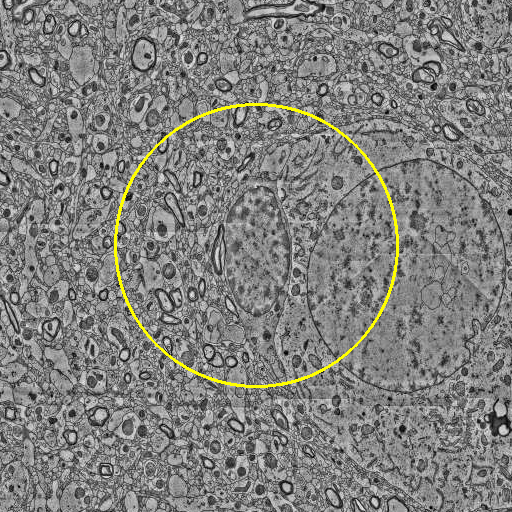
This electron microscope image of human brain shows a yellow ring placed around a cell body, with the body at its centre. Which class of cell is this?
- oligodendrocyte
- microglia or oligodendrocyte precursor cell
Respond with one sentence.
The cell body at the ring's centre is an oligodendrocyte.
